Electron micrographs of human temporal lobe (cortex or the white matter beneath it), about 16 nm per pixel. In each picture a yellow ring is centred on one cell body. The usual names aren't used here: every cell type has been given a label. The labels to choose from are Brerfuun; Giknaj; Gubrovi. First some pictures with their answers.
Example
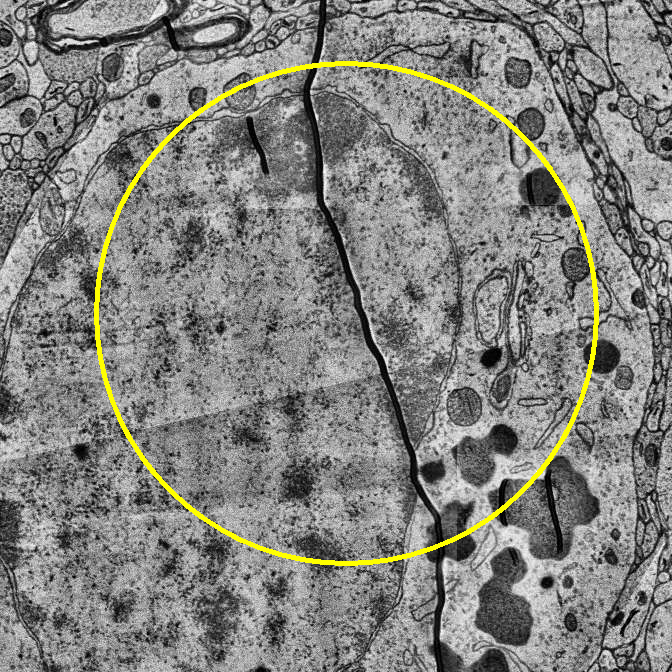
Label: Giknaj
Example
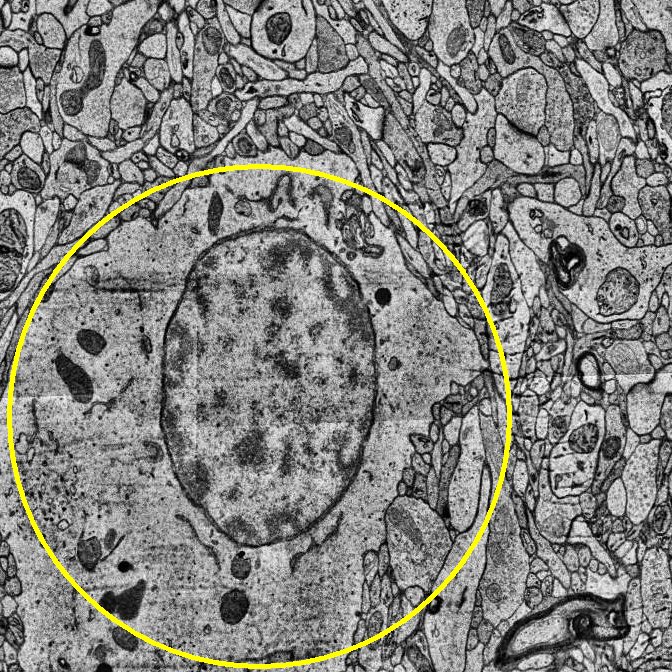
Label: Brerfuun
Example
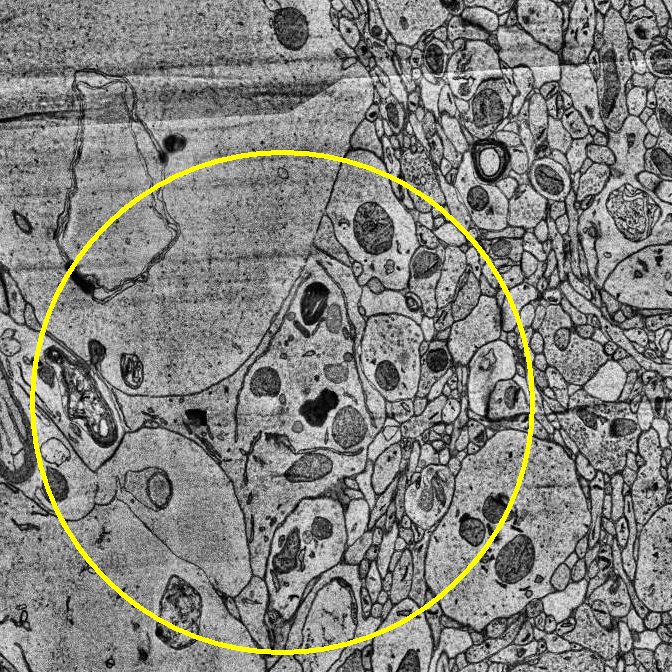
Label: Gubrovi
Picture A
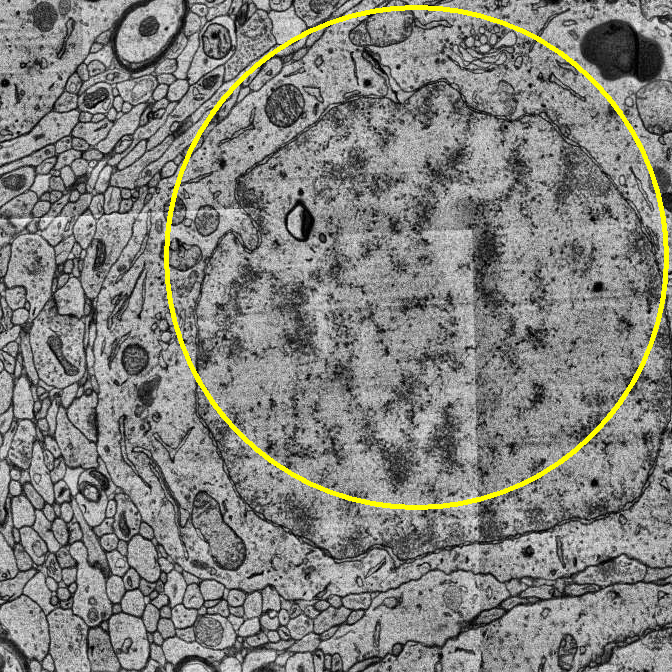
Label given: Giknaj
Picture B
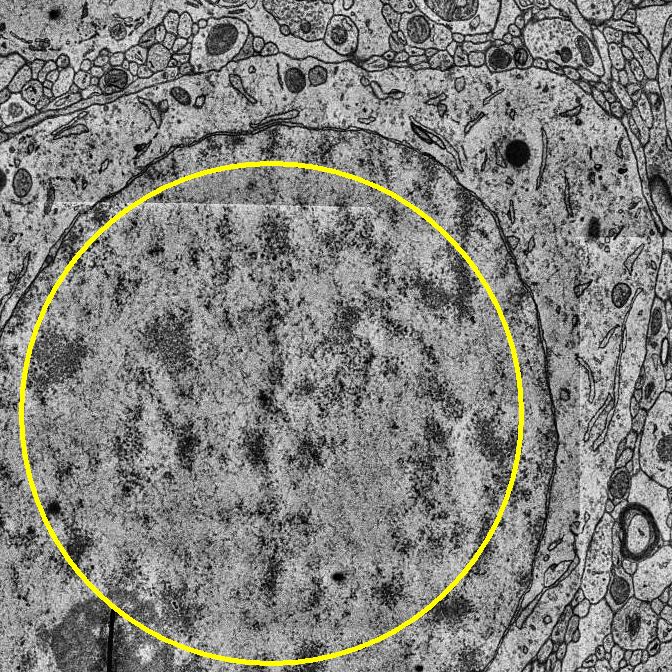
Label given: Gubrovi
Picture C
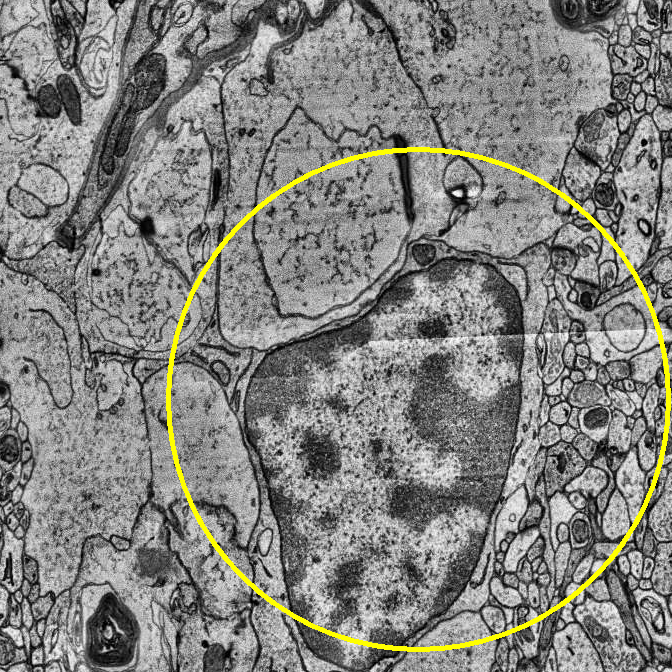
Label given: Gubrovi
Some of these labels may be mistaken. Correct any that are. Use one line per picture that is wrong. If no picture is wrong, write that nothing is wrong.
B is labelled Gubrovi; correct label: Giknaj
